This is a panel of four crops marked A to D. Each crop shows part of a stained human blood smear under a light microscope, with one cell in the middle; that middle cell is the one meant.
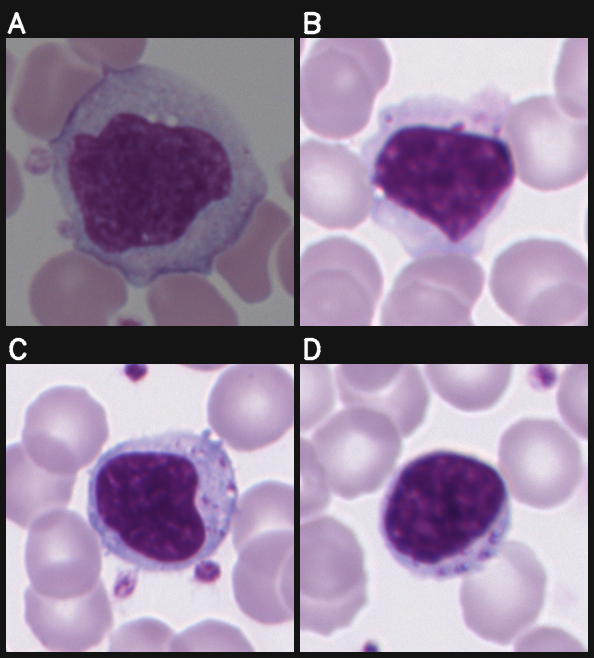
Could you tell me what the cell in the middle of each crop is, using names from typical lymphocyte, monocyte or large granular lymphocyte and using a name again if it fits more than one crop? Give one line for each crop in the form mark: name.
A: monocyte
B: large granular lymphocyte
C: large granular lymphocyte
D: large granular lymphocyte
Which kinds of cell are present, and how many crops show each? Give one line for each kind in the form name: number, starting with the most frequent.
large granular lymphocyte: 3
monocyte: 1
